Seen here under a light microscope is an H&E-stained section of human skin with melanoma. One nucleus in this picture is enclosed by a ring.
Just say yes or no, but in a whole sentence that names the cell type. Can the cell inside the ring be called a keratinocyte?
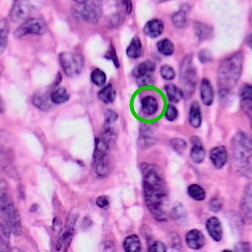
No, the cell inside the ring is not a keratinocyte but a plasma cell.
